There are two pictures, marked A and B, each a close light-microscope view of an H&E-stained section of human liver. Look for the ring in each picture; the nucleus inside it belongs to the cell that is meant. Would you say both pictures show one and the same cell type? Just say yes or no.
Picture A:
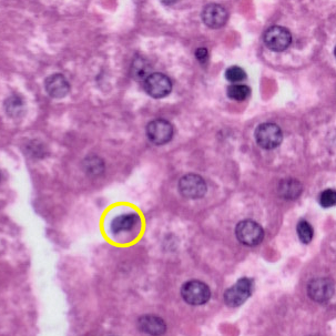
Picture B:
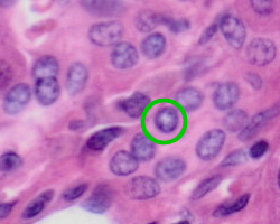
no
